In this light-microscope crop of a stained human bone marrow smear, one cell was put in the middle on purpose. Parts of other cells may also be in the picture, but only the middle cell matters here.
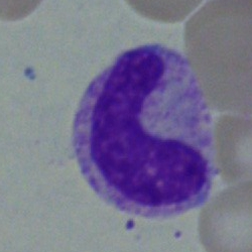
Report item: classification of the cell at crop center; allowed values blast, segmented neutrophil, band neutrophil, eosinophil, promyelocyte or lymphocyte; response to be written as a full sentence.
The centered cell in this crop is a band neutrophil.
